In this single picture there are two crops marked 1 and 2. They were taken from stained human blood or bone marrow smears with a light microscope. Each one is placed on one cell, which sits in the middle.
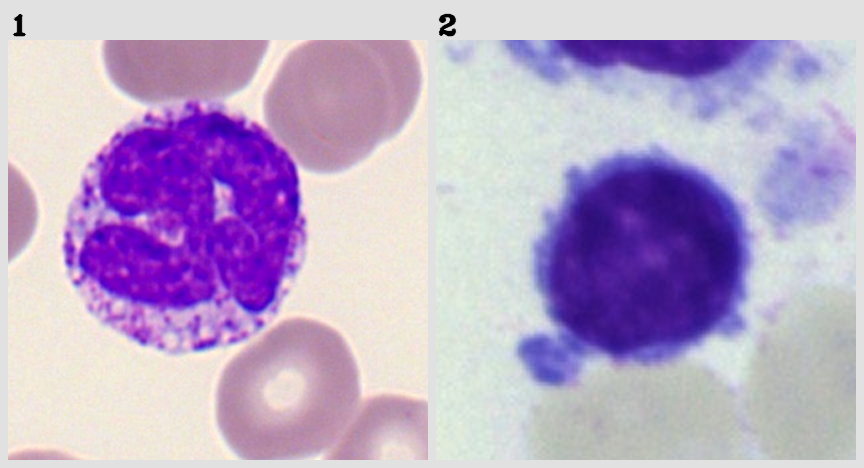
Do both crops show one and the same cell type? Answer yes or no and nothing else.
no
